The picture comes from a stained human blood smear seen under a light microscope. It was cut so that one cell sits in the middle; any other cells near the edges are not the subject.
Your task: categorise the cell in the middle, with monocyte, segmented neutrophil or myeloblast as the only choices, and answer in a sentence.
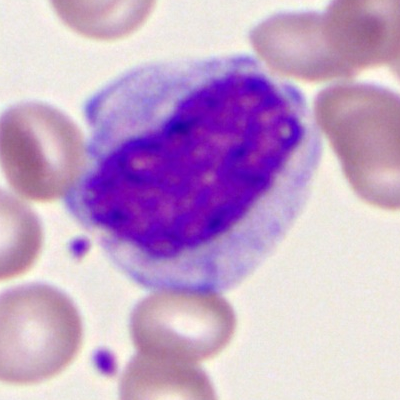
Present in the middle of the crop is a monocyte.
